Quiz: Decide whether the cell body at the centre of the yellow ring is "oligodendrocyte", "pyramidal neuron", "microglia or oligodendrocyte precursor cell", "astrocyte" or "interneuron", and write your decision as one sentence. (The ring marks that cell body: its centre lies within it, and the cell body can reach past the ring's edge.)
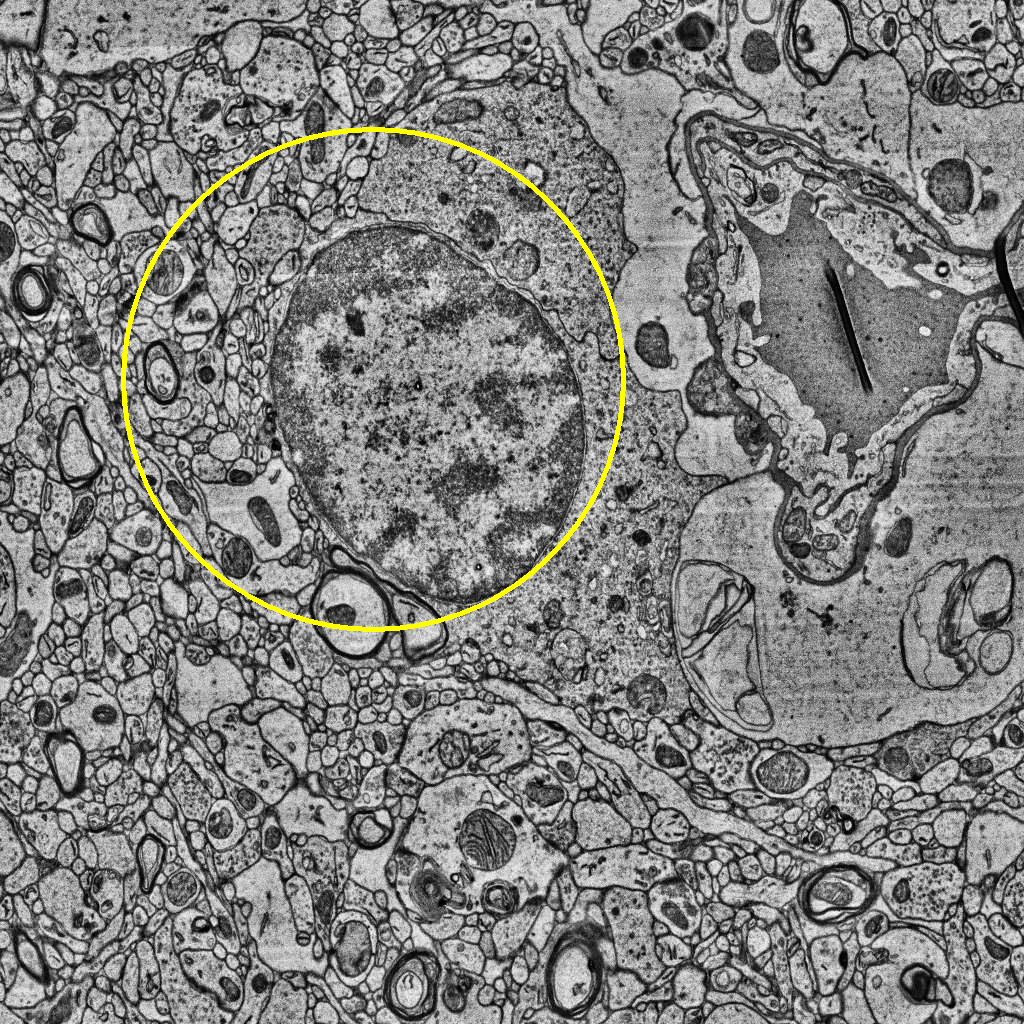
The cell holding the ring's centre is an oligodendrocyte.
